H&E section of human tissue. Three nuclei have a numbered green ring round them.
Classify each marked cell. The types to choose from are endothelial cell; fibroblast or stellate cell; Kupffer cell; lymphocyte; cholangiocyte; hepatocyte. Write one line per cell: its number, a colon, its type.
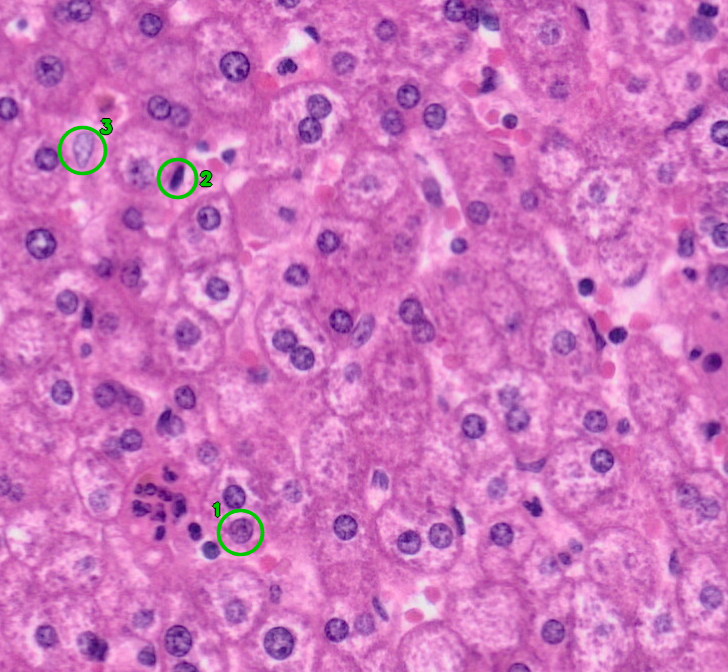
1: hepatocyte
2: fibroblast or stellate cell
3: Kupffer cell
